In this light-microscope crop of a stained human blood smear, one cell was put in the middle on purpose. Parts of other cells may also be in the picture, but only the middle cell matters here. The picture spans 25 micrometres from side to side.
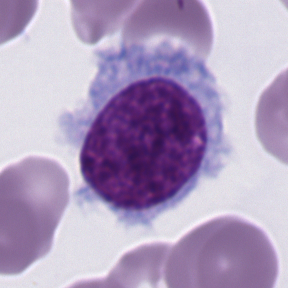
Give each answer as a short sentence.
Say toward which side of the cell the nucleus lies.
The nucleus lies toward the bottom of the cell.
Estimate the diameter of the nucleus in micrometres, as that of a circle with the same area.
It measures about 11 micrometres across.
